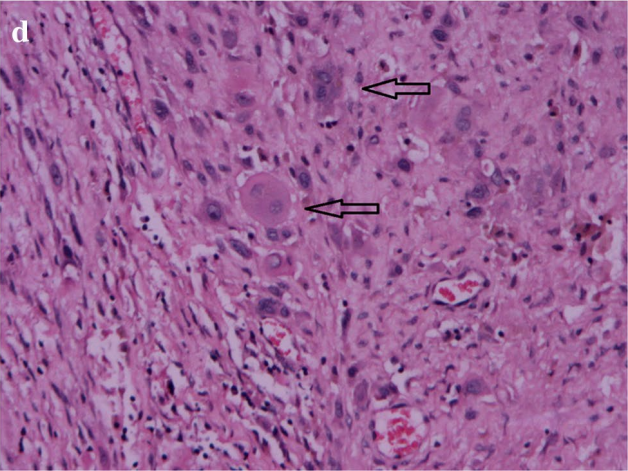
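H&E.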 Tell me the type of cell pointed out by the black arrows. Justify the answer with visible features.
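The arrowed cells are much larger than their neighbours. The arrowed cells contain two or more nuclei. The arrowed cells have abundant pink cytoplasm.
Hence: multinucleated giant cells.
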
